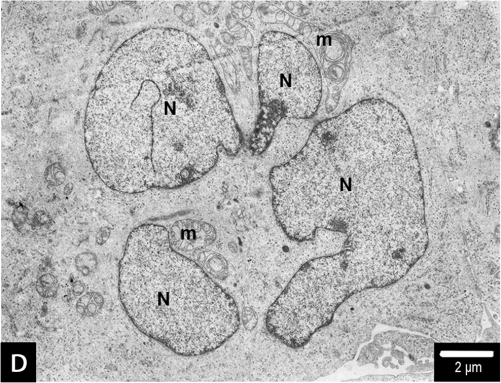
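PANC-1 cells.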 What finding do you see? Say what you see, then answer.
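One large cell contains four separate nuclei. The nuclei are irregular and lobed.
Hence: multinucleation.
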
